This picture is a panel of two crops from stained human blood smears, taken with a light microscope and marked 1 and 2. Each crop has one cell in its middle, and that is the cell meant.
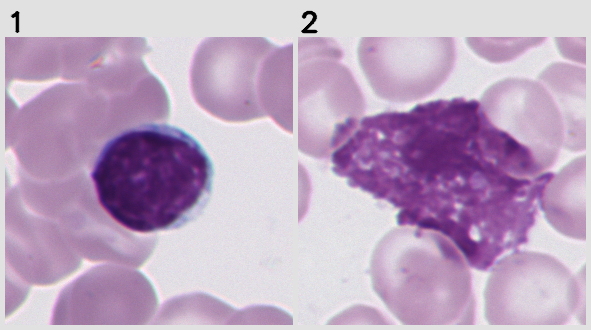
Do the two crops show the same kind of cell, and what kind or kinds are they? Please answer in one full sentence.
No, the cell shown in crop 1 is a typical lymphocyte, and the cell shown in crop 2 is a smudge cell.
